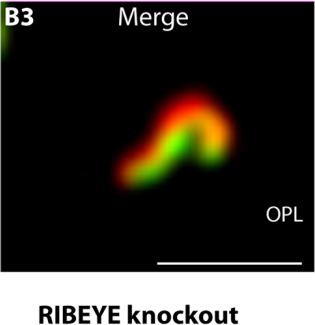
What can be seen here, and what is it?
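Green and red label follow the same curved course and overlap, giving yellow-orange tones along much of the arc. The red label is somewhat broader along the outer edge of the curve.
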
